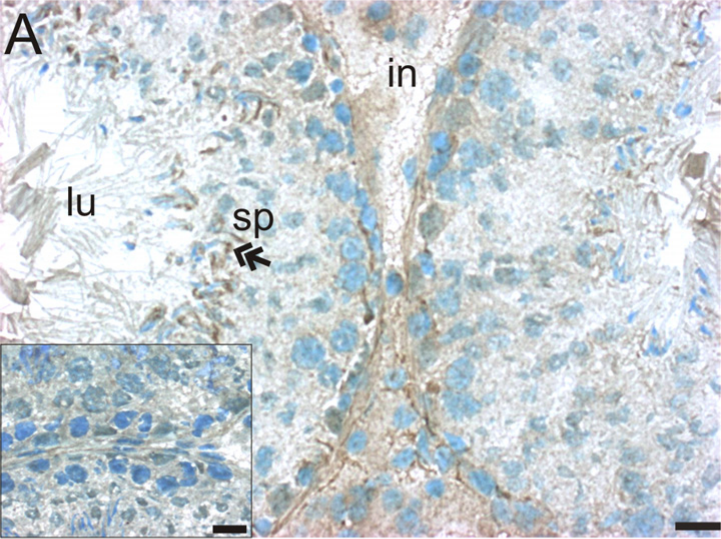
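This section of testis shows two neighbouring tubule walls with their germ cells, separated by a narrow strip of interstitium. The round germ cell nuclei are stained blue and are stacked in several layers. Brown stain outlines the narrow interstitial strip and the boundaries of the tubules. Further in, small elongated, dark-brown profiles of spermatids cluster near the lumen. The lumen itself holds pale, thread-like strands. In the inset the nuclei are blue but there is no brown deposit.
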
